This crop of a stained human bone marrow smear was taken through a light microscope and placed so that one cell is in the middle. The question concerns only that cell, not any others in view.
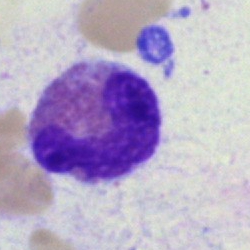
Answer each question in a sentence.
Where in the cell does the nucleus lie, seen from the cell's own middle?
Seen from the middle of the cell, the nucleus lies toward the lower right.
